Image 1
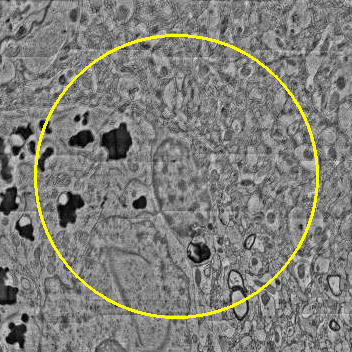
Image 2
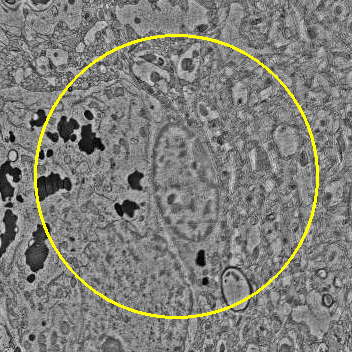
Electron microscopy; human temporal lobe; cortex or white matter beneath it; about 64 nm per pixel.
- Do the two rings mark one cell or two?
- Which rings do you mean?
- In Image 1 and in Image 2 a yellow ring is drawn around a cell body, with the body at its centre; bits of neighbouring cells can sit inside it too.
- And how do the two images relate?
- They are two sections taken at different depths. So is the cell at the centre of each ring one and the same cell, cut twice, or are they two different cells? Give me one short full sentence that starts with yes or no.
Yes, the marked cell is the same in both rings.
